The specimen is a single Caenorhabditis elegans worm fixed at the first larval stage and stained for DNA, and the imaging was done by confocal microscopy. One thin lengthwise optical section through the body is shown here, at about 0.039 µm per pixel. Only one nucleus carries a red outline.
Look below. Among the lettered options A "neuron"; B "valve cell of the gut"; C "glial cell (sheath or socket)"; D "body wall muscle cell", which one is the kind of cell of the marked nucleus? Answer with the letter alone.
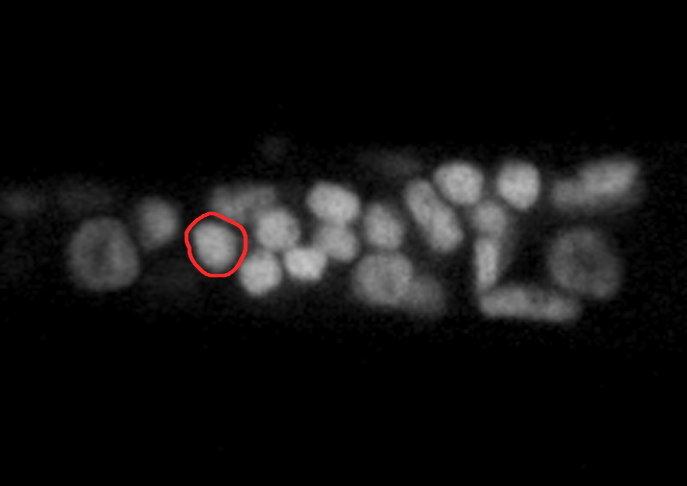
C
